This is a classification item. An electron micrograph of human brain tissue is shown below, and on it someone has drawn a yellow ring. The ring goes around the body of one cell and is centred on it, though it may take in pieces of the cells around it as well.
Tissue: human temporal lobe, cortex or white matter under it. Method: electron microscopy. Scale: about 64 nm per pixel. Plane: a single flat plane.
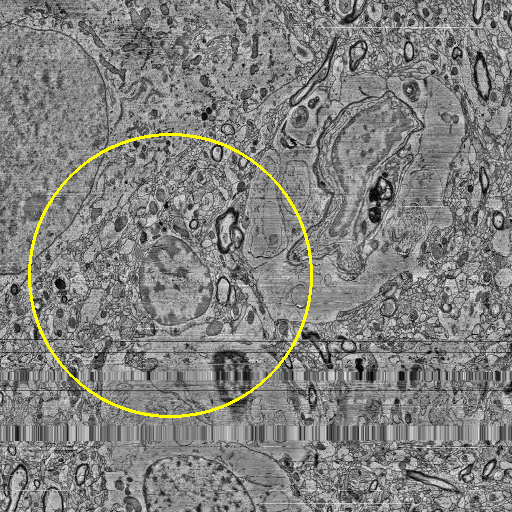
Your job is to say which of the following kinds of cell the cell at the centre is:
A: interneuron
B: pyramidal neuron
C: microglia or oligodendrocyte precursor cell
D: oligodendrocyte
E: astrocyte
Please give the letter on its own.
C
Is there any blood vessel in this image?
Yes.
